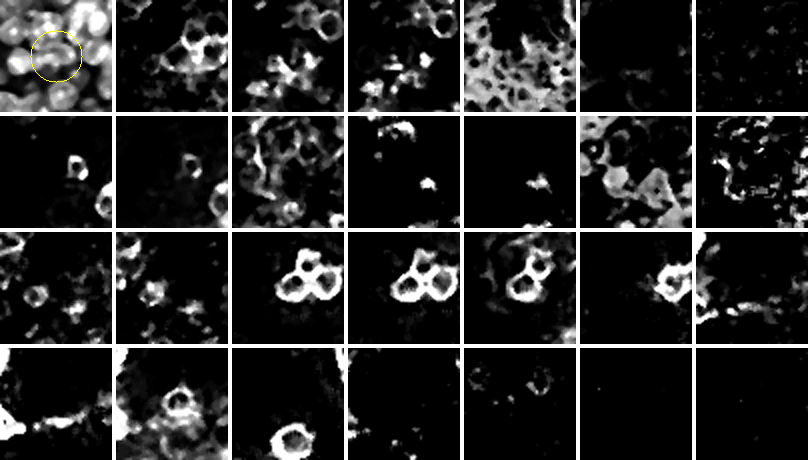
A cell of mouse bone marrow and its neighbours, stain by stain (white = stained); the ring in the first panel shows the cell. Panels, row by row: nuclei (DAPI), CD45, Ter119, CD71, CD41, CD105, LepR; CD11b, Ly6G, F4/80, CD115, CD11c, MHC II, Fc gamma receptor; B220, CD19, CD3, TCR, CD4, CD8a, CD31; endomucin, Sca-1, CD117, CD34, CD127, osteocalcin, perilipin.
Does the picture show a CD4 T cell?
Yes.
